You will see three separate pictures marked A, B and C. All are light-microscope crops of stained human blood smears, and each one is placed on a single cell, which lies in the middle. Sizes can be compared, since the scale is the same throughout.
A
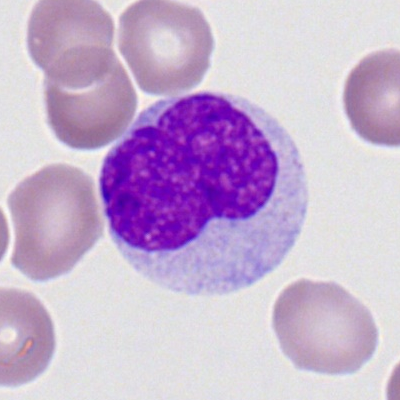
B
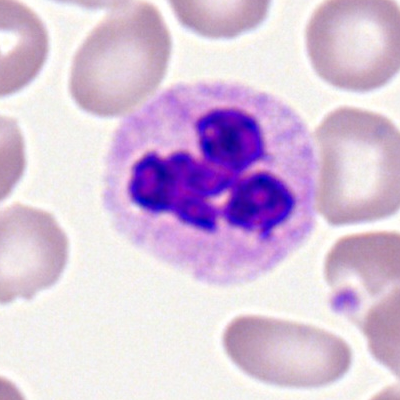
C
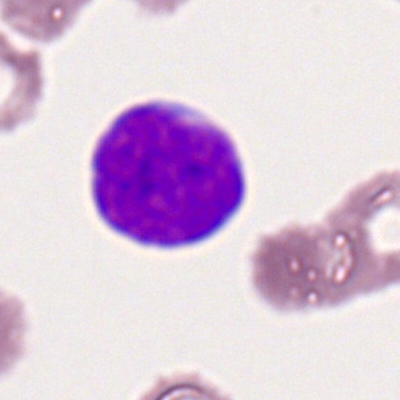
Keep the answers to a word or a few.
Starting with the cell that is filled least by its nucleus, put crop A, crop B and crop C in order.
B, A, C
